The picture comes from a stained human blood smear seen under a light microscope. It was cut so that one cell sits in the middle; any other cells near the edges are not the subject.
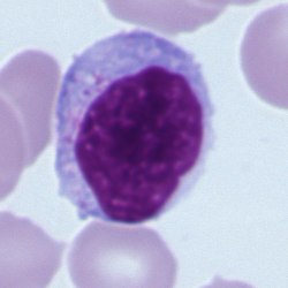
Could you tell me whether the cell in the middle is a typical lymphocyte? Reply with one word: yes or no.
no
